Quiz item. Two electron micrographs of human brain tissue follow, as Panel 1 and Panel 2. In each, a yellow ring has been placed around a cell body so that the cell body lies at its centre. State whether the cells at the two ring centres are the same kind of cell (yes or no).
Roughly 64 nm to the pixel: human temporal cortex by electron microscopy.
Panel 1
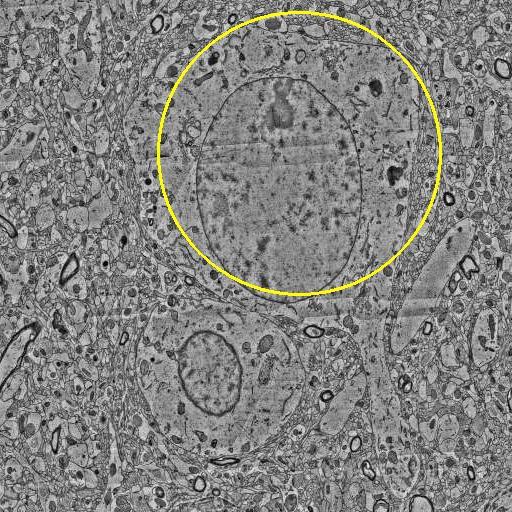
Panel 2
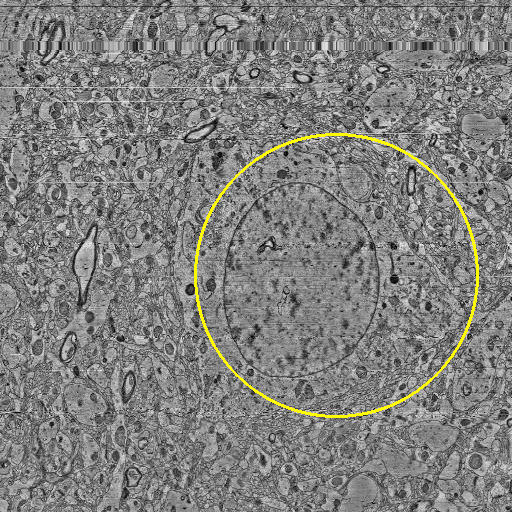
yes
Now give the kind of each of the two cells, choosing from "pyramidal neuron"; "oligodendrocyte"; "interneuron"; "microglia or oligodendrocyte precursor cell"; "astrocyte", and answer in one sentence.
Each of the two cells is a pyramidal neuron.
